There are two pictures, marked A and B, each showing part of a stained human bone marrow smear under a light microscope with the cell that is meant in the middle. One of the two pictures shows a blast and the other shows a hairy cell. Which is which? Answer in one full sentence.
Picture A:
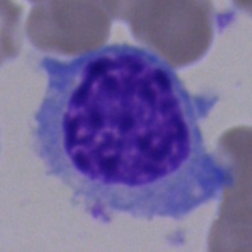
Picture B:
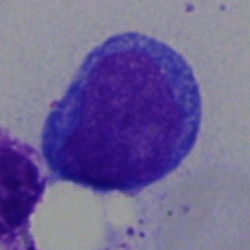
Picture B shows a blast, while picture A shows a hairy cell.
